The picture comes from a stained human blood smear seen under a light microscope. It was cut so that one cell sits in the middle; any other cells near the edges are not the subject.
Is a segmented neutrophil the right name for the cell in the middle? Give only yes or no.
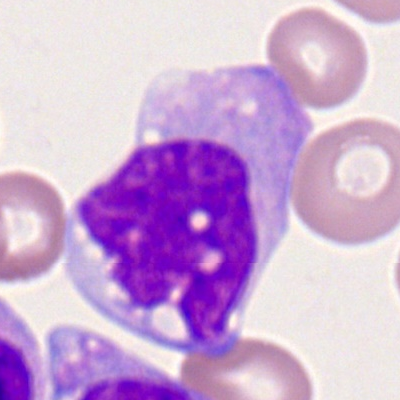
no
